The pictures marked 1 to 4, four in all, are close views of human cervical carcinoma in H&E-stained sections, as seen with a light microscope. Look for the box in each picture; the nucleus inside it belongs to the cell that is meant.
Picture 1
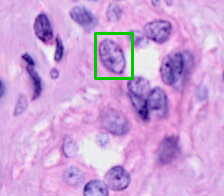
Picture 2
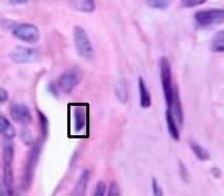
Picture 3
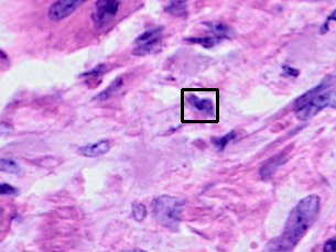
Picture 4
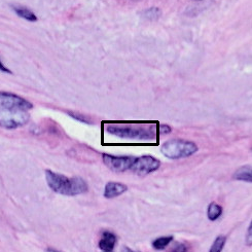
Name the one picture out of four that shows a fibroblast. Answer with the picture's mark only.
3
